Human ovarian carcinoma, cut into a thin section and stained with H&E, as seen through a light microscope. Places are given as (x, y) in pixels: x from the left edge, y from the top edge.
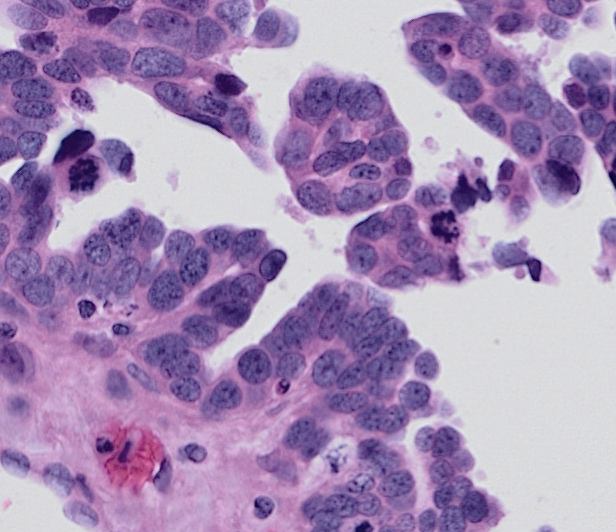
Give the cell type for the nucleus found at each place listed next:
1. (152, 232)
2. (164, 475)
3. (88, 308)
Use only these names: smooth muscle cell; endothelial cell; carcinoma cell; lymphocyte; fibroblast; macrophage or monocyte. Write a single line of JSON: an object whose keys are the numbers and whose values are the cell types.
{"1": "carcinoma cell", "2": "endothelial cell", "3": "lymphocyte"}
